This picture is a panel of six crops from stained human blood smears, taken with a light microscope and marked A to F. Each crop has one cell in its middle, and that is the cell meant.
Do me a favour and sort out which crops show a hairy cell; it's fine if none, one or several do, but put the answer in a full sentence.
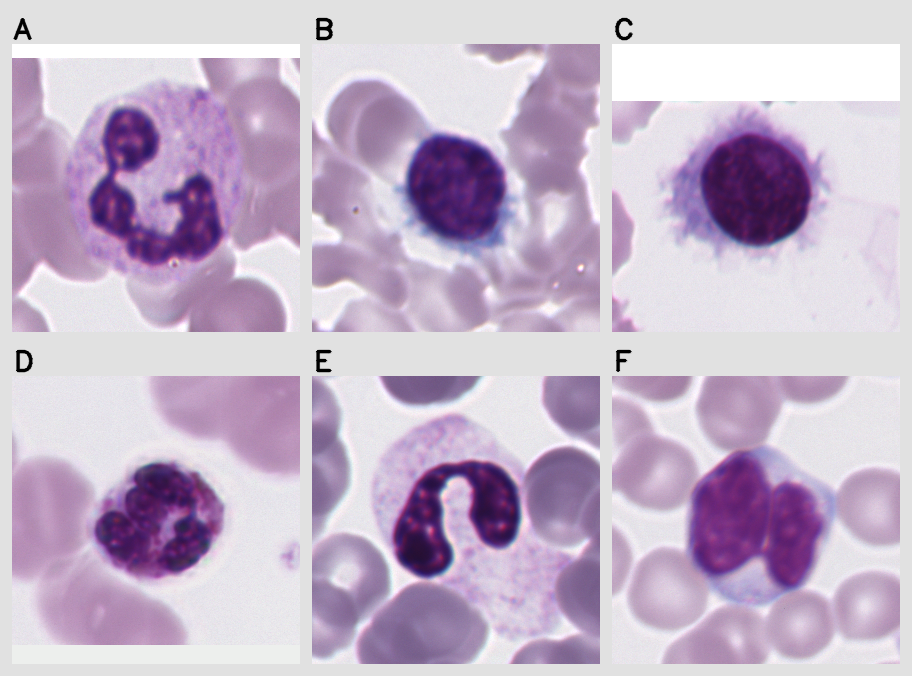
The cells sitting in the middle of crops B and C are hairy cells.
